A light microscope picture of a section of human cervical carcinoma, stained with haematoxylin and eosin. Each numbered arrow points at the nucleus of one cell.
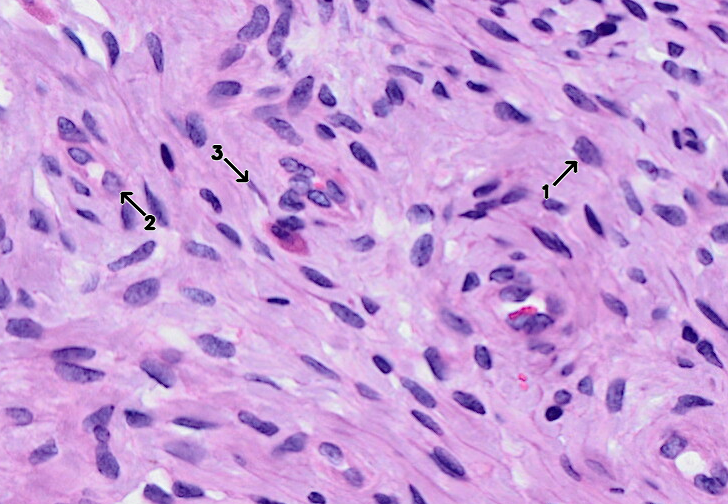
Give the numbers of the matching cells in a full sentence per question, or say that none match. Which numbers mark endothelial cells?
The nucleus labelled 2 alone belongs to an endothelial cell; the other marked nuclei do not.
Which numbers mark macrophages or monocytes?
Among the numbered cells, there are no macrophages or monocytes.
